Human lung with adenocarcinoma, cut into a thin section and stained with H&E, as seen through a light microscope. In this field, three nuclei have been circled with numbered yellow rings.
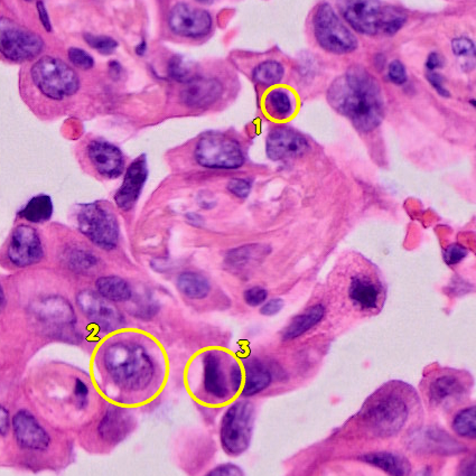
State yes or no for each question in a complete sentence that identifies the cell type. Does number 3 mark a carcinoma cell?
Yes, the cell referred to as number 3 is a carcinoma cell.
